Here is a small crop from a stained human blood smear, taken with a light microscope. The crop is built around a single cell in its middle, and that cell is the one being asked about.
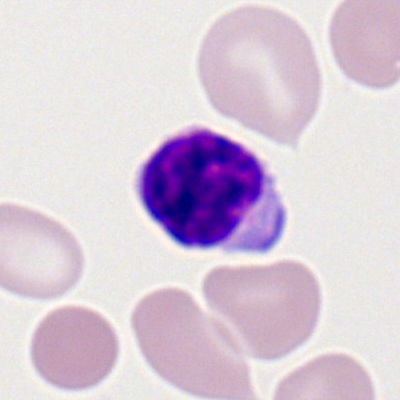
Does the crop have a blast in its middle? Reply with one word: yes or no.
no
